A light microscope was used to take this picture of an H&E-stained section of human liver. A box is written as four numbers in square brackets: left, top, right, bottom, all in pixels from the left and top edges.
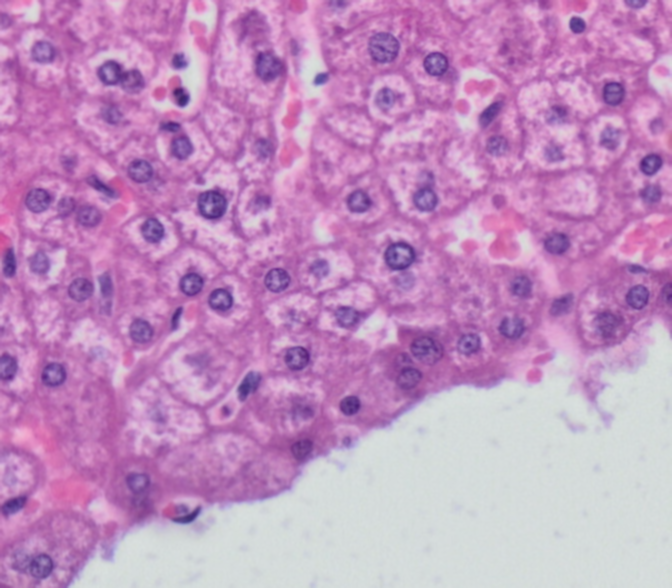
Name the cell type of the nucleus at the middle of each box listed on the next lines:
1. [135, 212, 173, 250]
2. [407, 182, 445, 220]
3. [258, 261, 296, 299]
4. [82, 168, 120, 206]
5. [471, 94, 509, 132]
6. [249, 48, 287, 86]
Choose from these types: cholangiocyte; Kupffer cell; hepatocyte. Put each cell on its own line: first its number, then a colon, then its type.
1: hepatocyte
2: hepatocyte
3: hepatocyte
4: Kupffer cell
5: Kupffer cell
6: hepatocyte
